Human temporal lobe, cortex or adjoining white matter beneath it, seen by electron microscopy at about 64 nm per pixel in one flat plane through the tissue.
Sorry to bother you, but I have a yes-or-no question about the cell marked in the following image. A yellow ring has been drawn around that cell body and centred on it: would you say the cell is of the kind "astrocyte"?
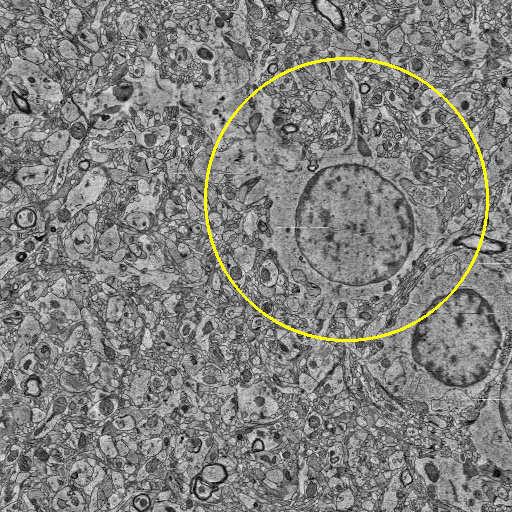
yes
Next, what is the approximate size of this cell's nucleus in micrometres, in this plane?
About 8 micrometres across in this plane, for the nucleus.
